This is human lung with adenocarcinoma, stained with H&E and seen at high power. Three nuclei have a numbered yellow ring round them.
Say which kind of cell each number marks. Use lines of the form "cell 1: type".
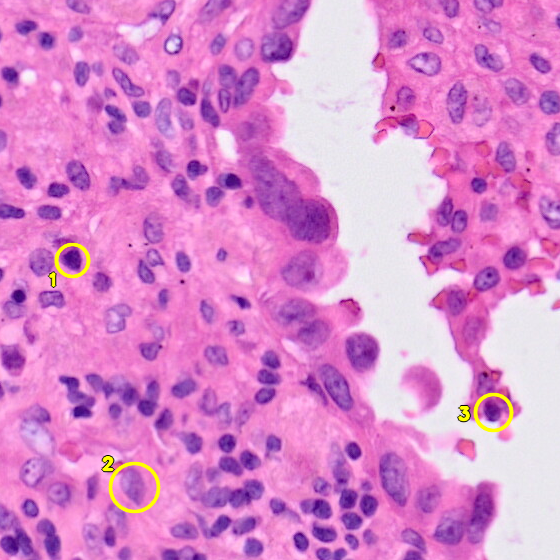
cell 1: plasma cell
cell 2: endothelial cell
cell 3: lymphocyte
